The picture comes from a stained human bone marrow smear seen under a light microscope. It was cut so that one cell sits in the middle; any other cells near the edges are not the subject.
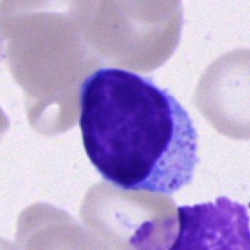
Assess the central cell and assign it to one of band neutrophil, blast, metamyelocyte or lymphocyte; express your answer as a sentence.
What sits at the centre of this crop is a lymphocyte.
